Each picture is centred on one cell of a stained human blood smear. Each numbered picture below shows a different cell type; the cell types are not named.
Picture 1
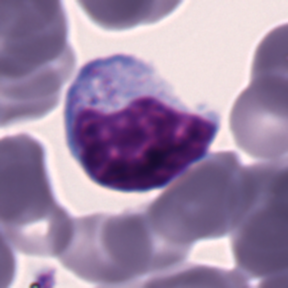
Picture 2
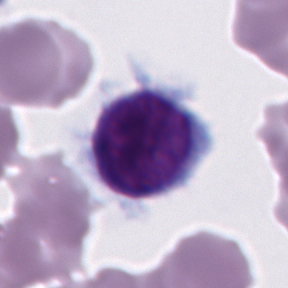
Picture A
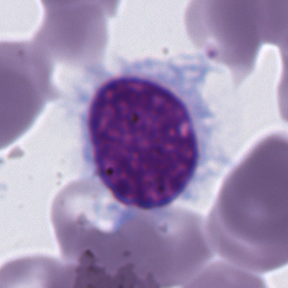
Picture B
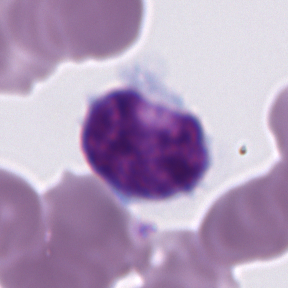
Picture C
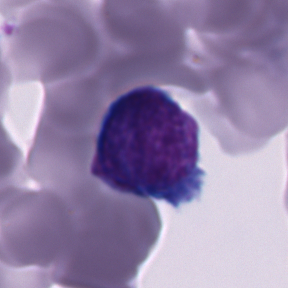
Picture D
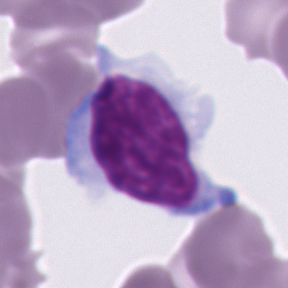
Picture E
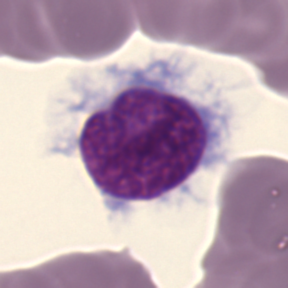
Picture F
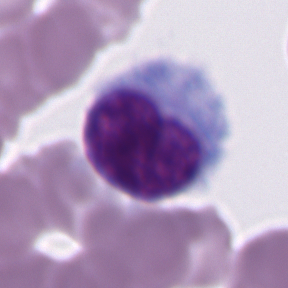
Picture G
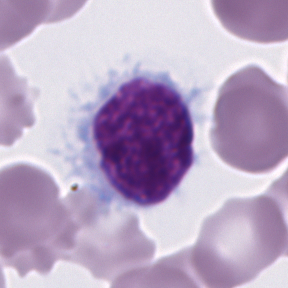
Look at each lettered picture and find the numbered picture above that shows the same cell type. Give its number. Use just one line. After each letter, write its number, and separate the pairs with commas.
A 2, B 2, C 1, D 2, E 2, F 2, G 2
